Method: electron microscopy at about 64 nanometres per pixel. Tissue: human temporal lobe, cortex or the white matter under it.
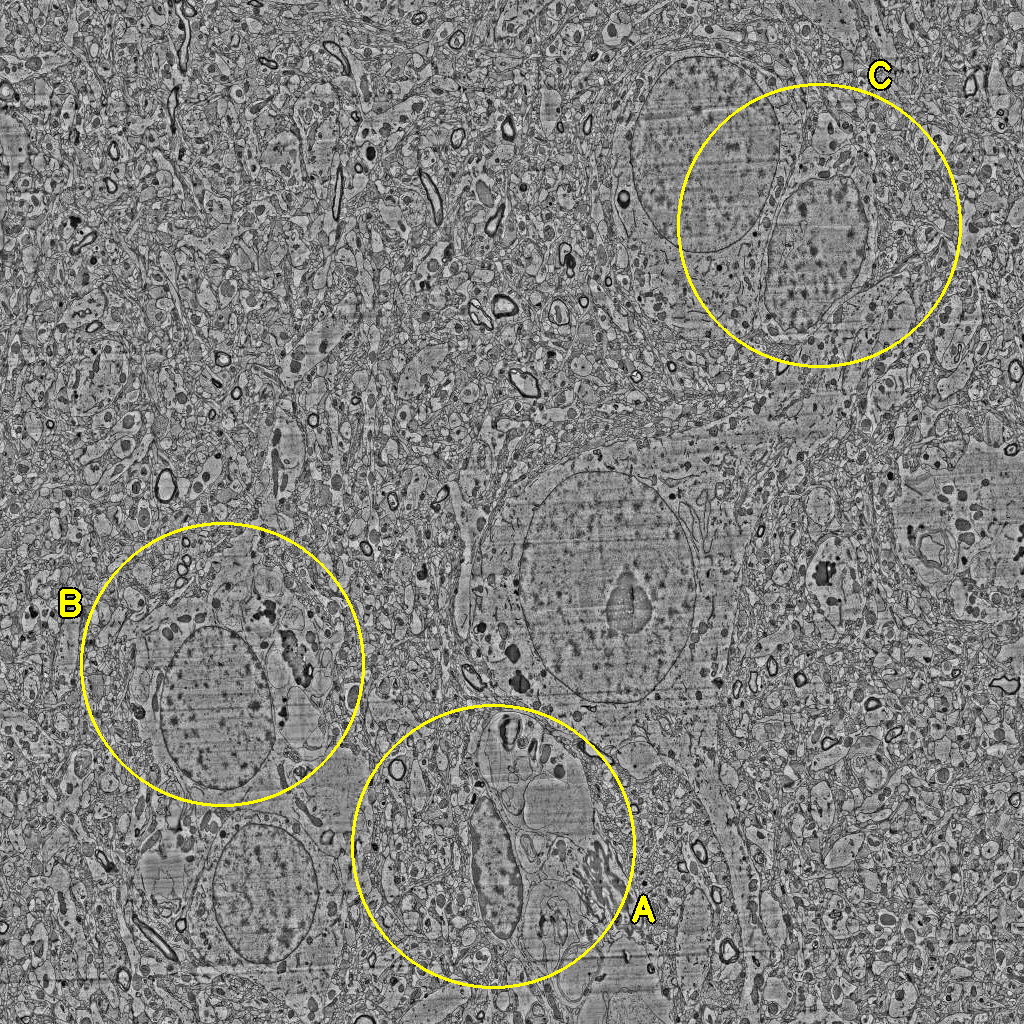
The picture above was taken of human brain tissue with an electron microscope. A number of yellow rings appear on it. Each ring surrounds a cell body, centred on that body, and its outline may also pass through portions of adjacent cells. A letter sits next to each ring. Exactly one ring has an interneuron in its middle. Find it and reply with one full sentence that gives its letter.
Letter C labels the ring whose centre falls on a cell of that kind.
